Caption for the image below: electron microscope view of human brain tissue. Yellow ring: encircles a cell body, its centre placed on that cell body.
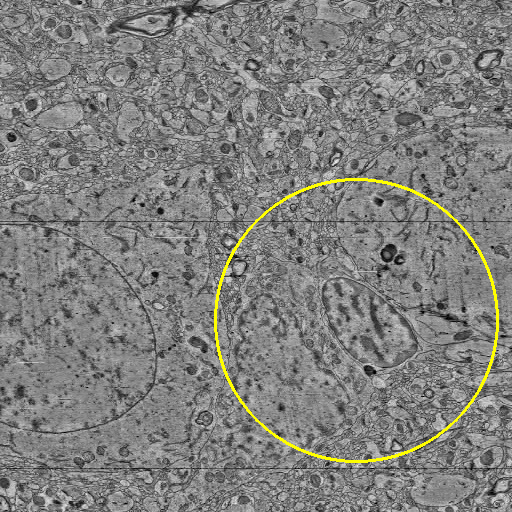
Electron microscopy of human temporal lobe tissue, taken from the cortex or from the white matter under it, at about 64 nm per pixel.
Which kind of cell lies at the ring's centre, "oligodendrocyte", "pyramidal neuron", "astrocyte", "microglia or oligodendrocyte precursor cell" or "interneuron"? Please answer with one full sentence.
The picture shows a microglial cell or oligodendrocyte precursor cell at the centre of the yellow ring.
